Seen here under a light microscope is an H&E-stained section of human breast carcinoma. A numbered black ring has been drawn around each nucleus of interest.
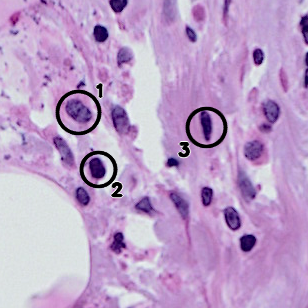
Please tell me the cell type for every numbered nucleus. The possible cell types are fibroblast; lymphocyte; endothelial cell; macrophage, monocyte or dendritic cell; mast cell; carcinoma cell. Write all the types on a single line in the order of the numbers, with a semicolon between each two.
mast cell; lymphocyte; lymphocyte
